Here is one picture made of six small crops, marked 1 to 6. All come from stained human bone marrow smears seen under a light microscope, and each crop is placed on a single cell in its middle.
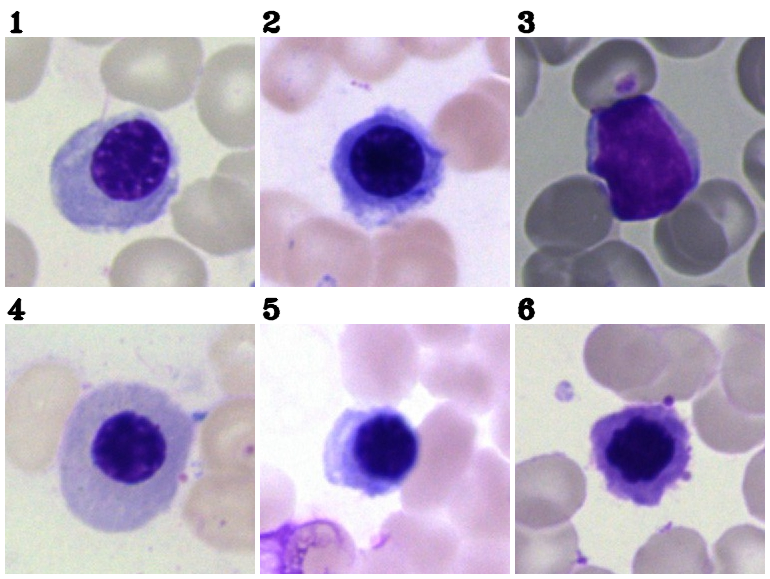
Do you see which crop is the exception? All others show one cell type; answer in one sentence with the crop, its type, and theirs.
While crop 3 shows a lymphocyte, the other crops all show normoblasts.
